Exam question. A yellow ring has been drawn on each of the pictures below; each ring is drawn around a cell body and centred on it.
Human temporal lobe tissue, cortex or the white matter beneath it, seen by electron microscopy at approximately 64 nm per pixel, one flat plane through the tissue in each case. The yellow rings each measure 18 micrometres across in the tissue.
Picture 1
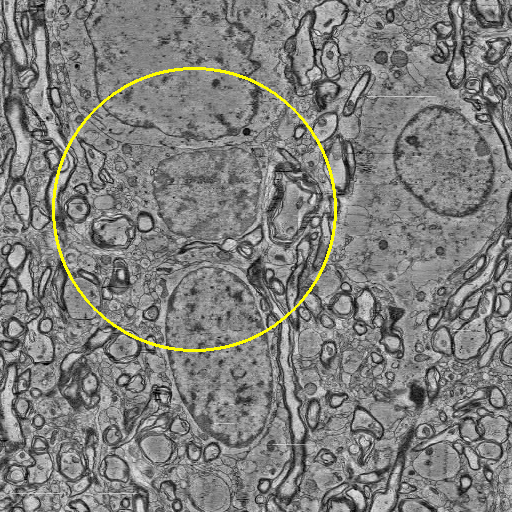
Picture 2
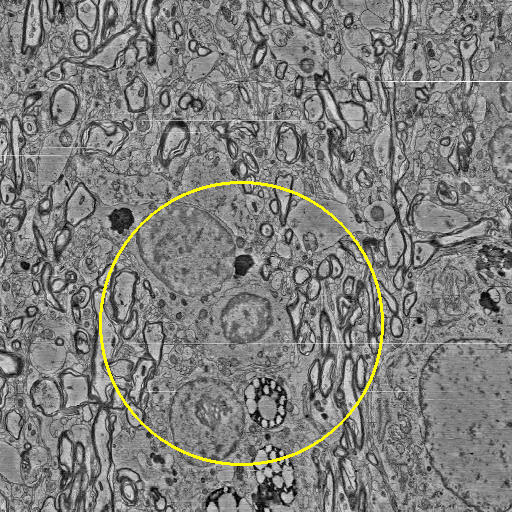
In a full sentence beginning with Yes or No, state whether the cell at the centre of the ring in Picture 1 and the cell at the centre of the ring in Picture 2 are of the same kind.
Yes, the two cells are of the same kind.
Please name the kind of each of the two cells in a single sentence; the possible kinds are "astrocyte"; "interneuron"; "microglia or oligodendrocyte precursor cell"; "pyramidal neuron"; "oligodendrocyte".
Both pictures show an oligodendrocyte at the centre of the ring.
